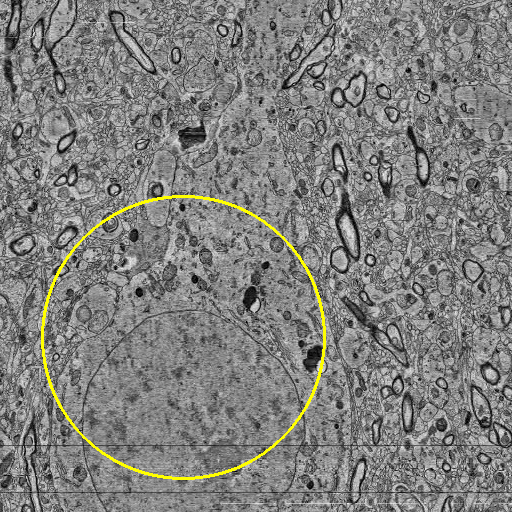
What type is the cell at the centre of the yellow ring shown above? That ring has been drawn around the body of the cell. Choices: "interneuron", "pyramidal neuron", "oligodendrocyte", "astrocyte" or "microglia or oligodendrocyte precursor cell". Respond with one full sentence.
My answer is that a pyramidal neuron lies at the centre of the yellow ring above.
